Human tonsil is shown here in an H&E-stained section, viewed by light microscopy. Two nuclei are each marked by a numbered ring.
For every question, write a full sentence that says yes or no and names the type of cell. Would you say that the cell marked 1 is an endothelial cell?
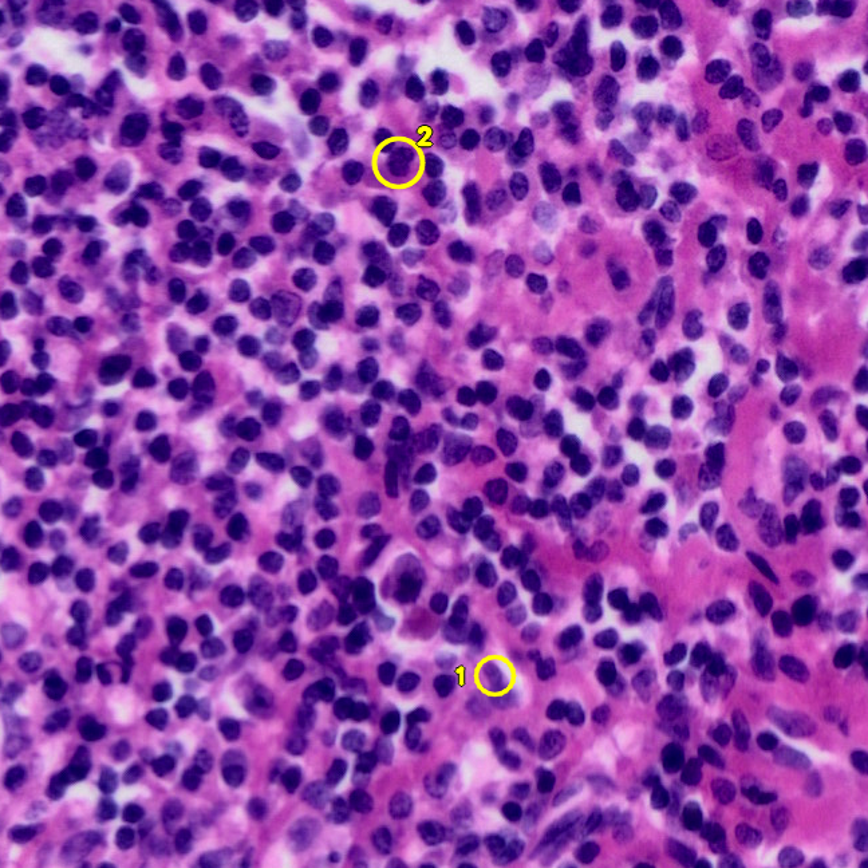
Yes, an endothelial cell is what the cell numbered 1 is.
